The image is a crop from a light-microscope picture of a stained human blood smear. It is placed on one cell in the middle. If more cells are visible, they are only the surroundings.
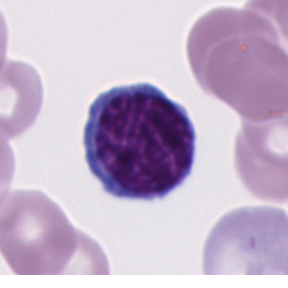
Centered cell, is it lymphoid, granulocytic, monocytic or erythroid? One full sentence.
In this crop, the central cell belongs to the erythroid lineage.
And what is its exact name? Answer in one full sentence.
The cell centered in this field of view is a normoblast.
